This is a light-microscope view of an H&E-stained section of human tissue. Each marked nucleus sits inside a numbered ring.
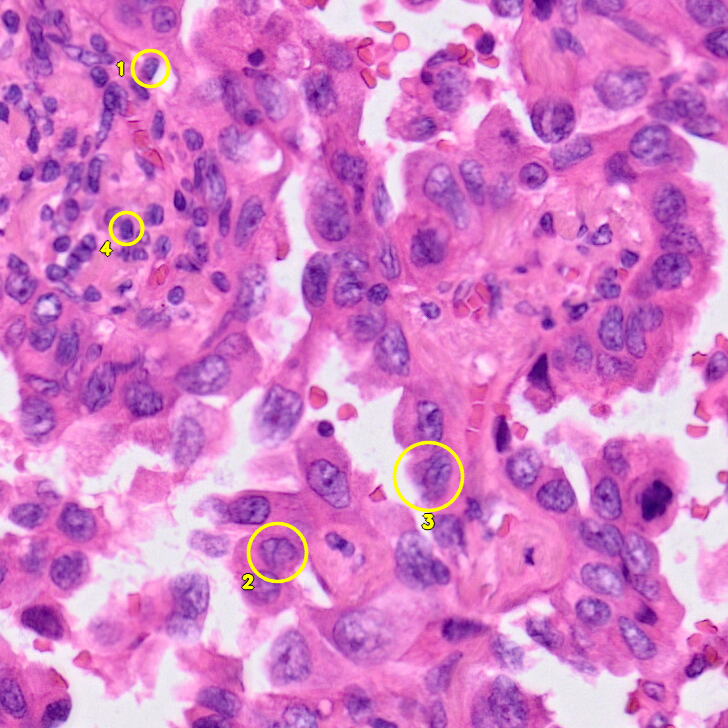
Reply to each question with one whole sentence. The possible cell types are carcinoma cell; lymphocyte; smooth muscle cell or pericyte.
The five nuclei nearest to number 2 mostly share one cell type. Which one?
Around number 2, most of the five nearest nuclei are those of carcinoma cells.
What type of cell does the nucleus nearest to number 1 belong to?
The nucleus nearest to number 1 is that of a lymphocyte.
